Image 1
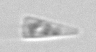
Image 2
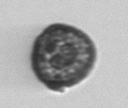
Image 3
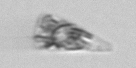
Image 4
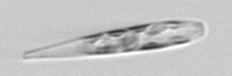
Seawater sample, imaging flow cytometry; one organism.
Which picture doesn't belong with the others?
Picture 2.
